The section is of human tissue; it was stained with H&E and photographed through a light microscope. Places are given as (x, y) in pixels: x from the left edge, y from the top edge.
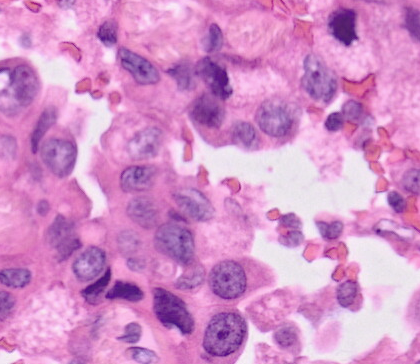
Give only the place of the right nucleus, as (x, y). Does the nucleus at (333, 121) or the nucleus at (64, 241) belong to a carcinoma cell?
(64, 241)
